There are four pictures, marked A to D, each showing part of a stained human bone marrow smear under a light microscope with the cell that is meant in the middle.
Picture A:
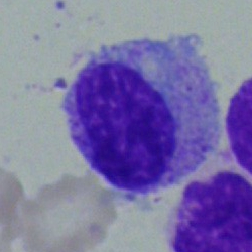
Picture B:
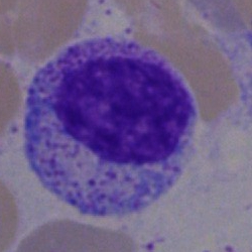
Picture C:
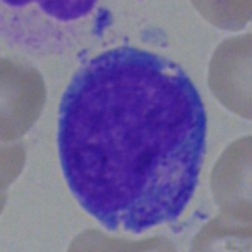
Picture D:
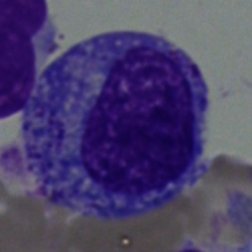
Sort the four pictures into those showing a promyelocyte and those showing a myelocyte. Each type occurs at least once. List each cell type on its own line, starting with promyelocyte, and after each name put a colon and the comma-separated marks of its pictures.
promyelocyte: C
myelocyte: A, B, D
